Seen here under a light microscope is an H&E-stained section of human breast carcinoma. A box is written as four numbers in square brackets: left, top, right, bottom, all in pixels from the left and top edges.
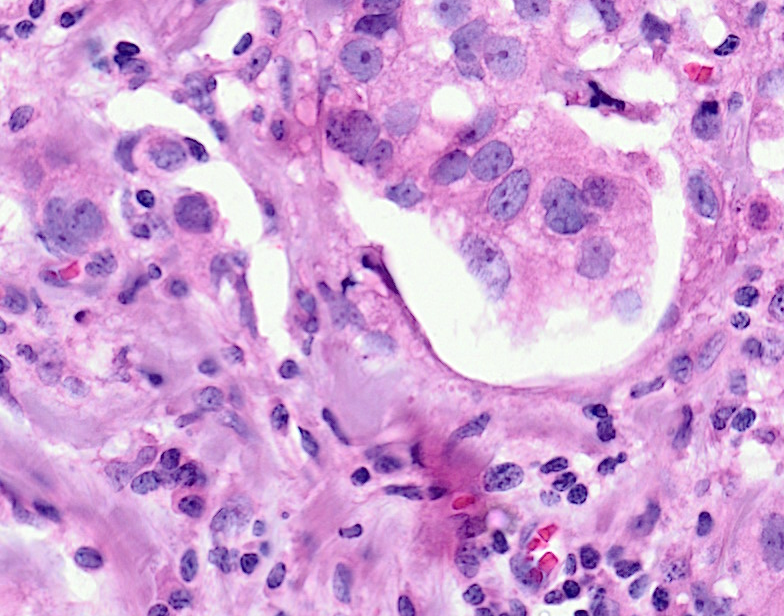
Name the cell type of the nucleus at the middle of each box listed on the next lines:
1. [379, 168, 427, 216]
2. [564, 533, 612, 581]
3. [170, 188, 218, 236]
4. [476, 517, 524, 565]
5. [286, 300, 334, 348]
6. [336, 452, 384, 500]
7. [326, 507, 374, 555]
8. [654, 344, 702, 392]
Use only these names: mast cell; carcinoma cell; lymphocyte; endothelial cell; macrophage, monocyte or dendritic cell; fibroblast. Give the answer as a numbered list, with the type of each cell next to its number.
1. carcinoma cell
2. lymphocyte
3. carcinoma cell
4. lymphocyte
5. endothelial cell
6. lymphocyte
7. lymphocyte
8. endothelial cell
